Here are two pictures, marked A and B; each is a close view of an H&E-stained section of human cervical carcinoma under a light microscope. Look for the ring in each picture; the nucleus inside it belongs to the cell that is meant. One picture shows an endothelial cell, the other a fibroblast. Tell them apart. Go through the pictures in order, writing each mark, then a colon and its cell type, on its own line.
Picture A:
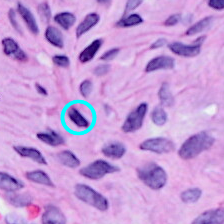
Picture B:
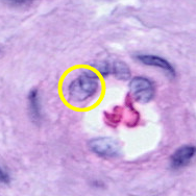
A: fibroblast
B: endothelial cell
